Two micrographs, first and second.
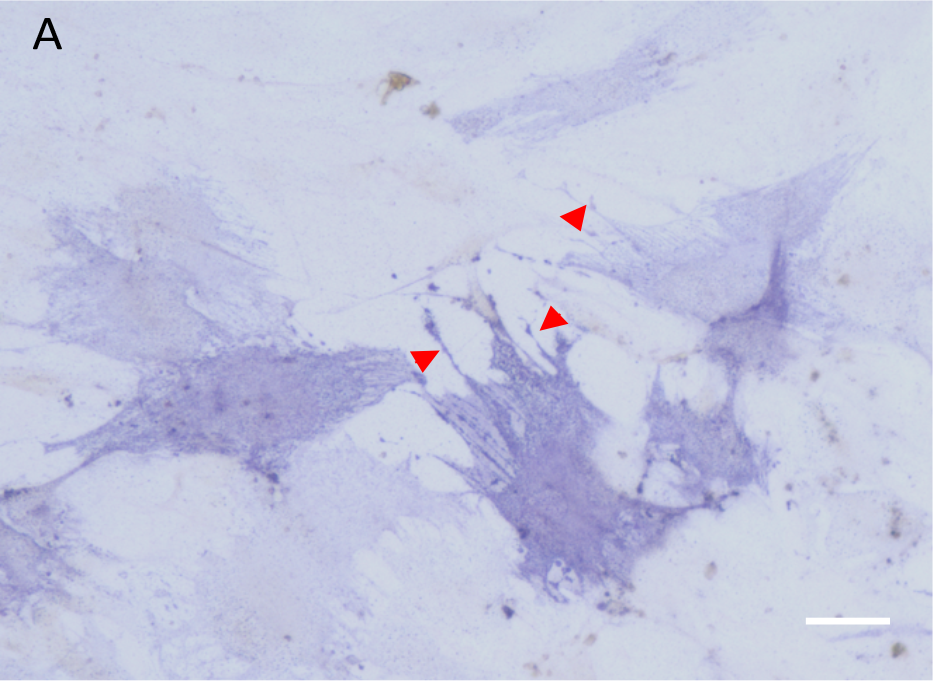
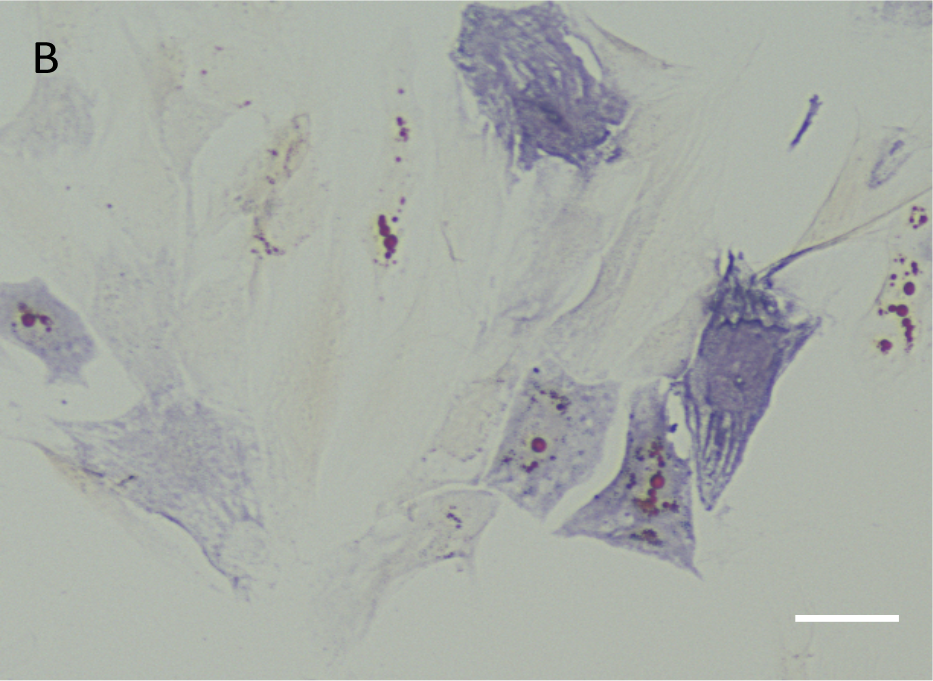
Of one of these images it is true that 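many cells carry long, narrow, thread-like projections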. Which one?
the first image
